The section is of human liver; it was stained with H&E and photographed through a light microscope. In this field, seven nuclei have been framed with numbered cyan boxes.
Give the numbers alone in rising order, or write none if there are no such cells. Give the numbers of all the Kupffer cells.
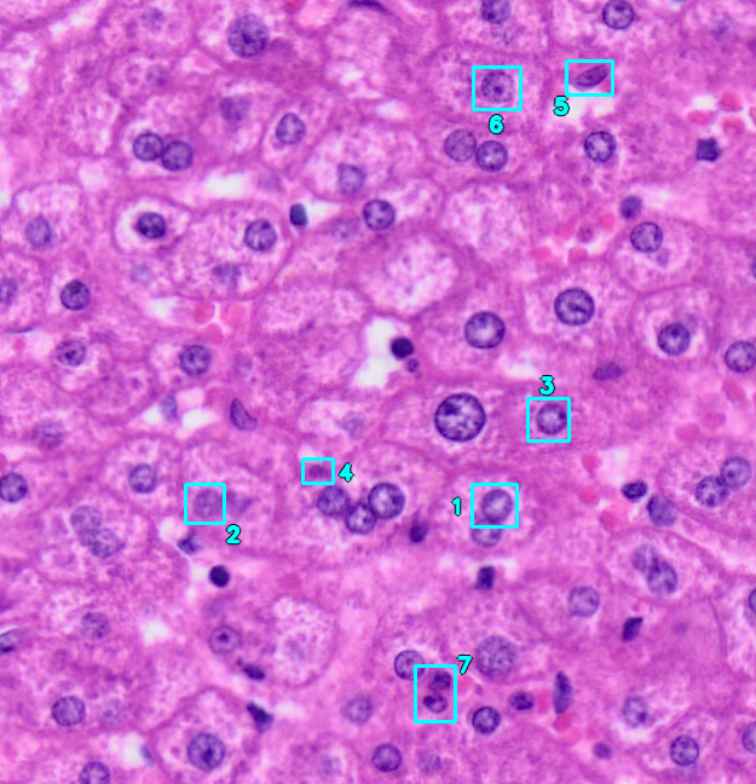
4, 5, 7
